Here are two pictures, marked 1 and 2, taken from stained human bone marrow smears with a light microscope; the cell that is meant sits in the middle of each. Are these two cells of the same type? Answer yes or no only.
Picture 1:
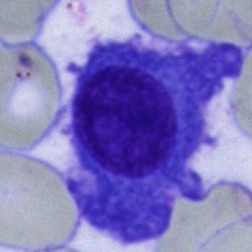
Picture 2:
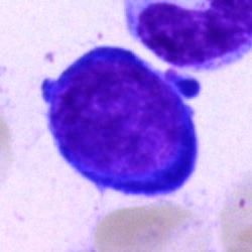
no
